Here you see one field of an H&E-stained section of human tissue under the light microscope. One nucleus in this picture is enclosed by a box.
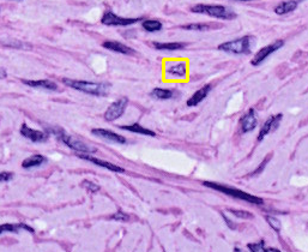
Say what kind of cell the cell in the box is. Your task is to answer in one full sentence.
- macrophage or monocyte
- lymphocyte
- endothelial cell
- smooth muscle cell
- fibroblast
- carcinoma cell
For cell typing purposes, the cell in the box is a fibroblast.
